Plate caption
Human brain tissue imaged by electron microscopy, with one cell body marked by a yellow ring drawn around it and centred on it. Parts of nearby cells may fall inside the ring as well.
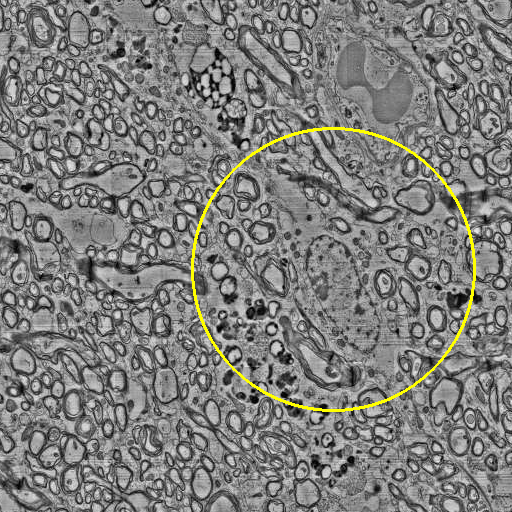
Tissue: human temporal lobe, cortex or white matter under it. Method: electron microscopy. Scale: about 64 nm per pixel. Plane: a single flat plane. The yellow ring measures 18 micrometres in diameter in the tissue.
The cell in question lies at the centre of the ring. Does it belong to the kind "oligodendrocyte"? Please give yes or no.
No, it belongs to another kind.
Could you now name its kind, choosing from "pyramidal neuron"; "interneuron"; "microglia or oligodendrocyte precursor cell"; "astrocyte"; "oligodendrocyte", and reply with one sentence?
That cell in the ring is an astrocyte instead.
